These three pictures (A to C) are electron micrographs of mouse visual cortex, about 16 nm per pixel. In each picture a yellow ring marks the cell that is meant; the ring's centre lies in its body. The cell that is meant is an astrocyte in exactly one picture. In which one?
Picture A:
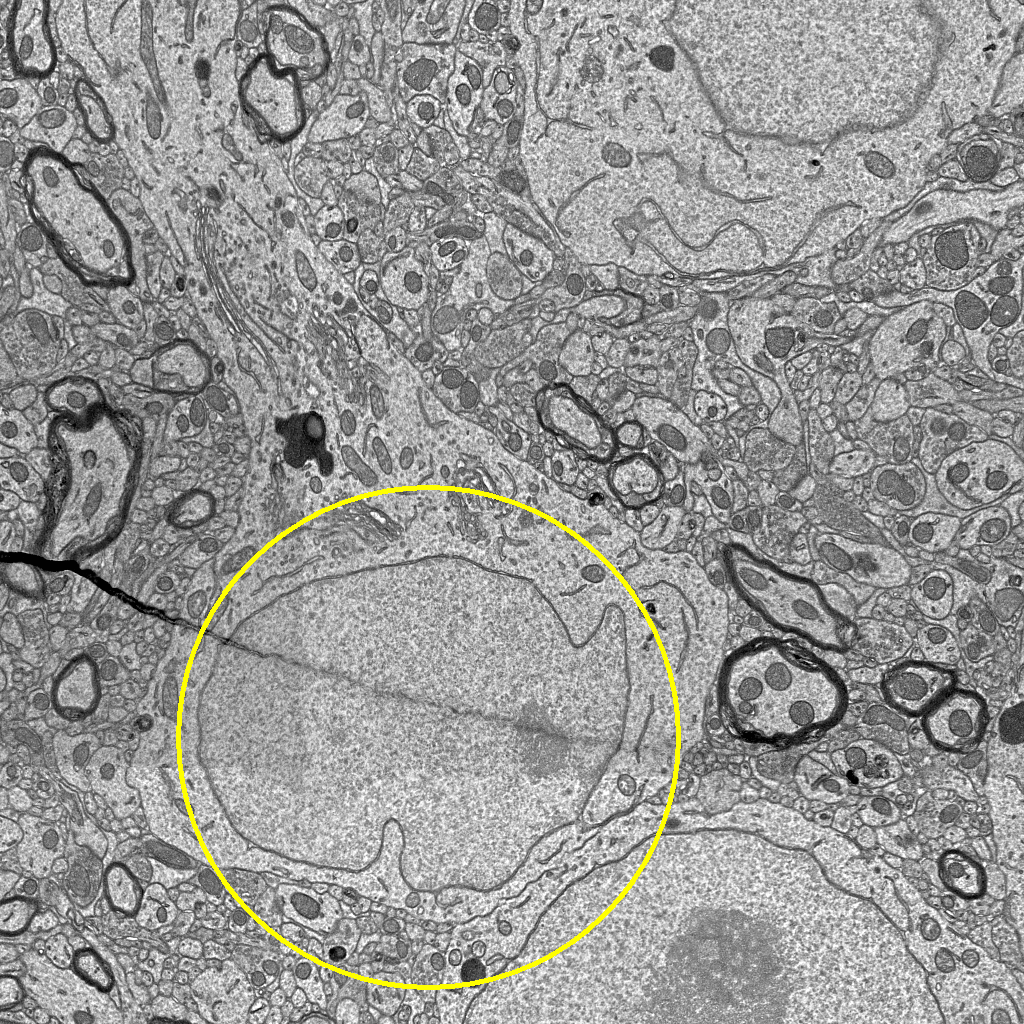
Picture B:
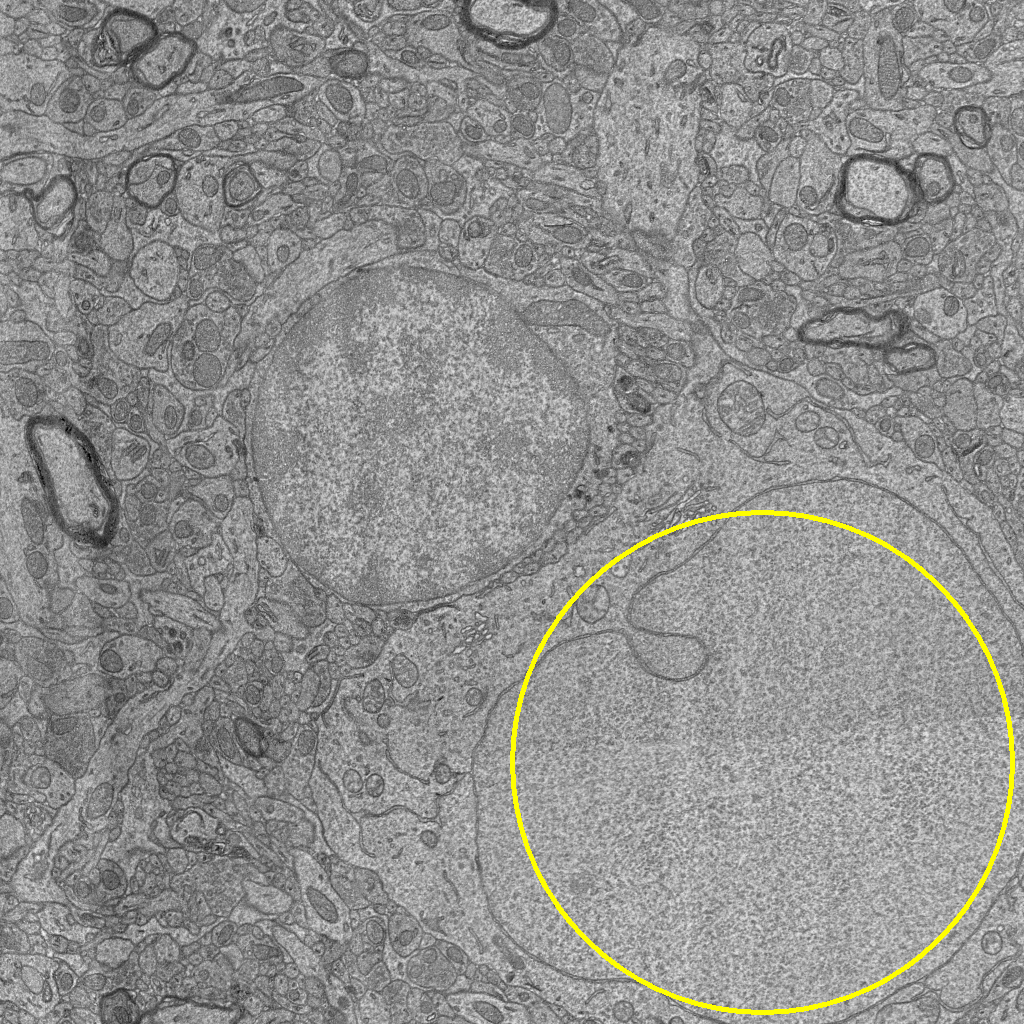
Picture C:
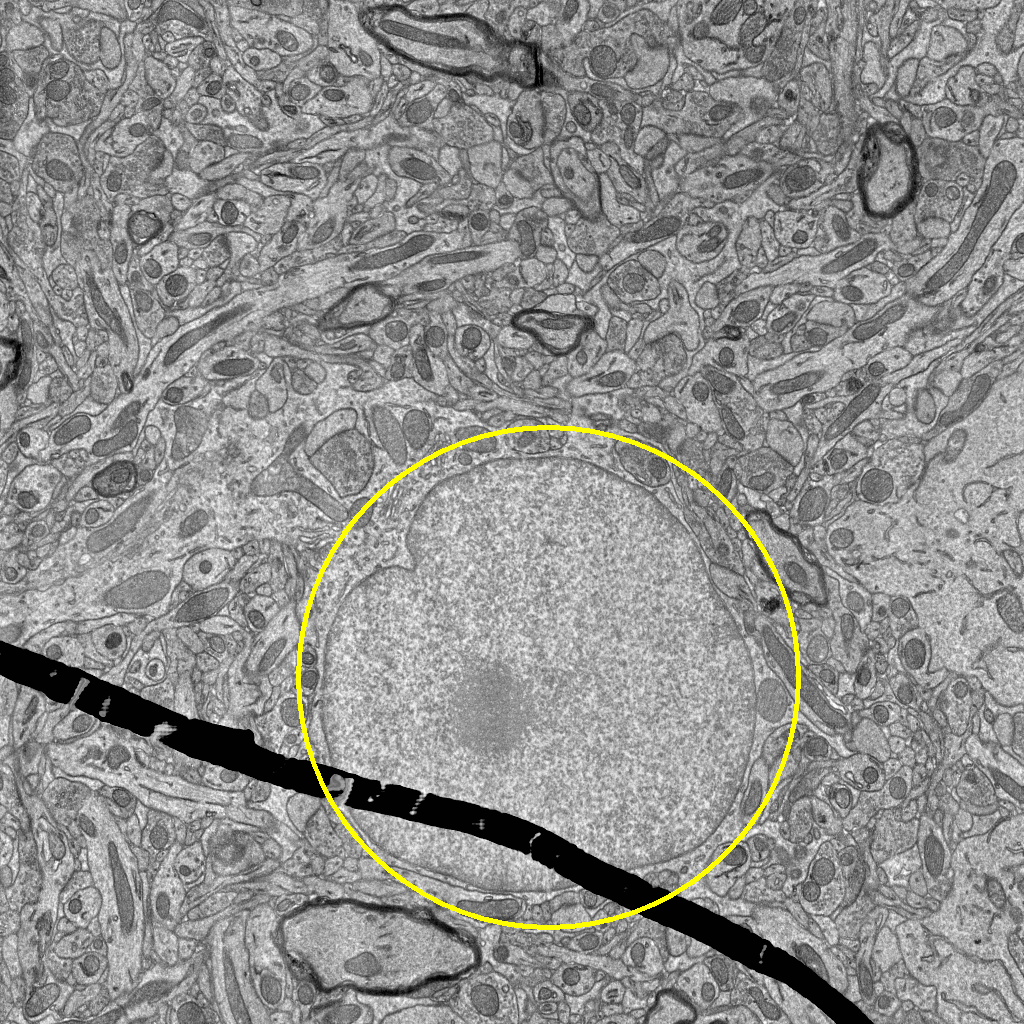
Picture C is the one that shows the astrocyte.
